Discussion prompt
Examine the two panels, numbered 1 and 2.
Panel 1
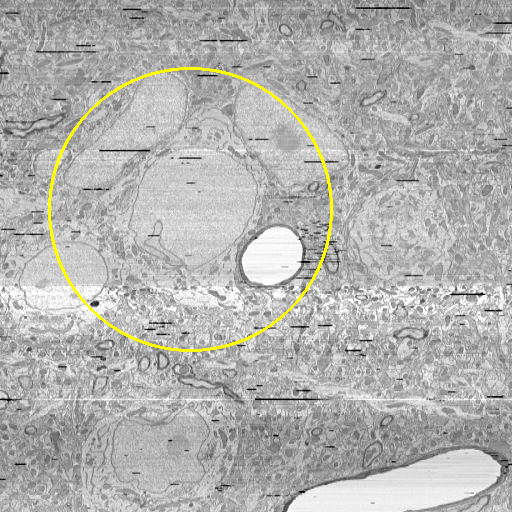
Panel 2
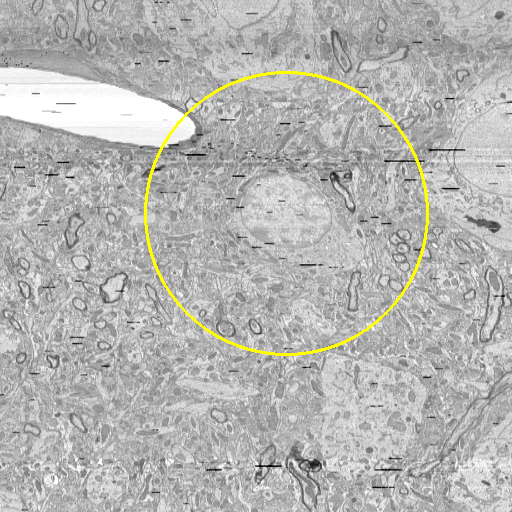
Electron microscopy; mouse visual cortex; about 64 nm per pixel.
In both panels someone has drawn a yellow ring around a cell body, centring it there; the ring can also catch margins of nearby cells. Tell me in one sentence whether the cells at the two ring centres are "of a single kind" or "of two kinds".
Taken together, the two cells centred in the rings of Panels 1 and 2 are of two kinds.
